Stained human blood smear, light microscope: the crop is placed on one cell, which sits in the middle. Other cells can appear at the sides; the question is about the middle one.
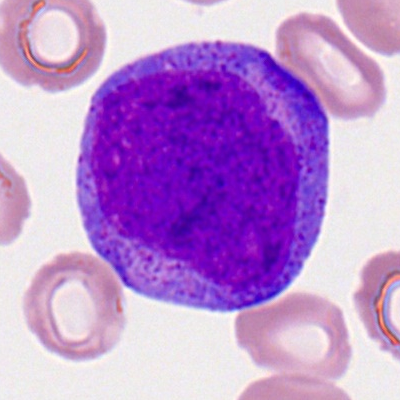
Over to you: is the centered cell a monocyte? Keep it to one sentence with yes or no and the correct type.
No, the central cell is designated a myeloblast and not a monocyte.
